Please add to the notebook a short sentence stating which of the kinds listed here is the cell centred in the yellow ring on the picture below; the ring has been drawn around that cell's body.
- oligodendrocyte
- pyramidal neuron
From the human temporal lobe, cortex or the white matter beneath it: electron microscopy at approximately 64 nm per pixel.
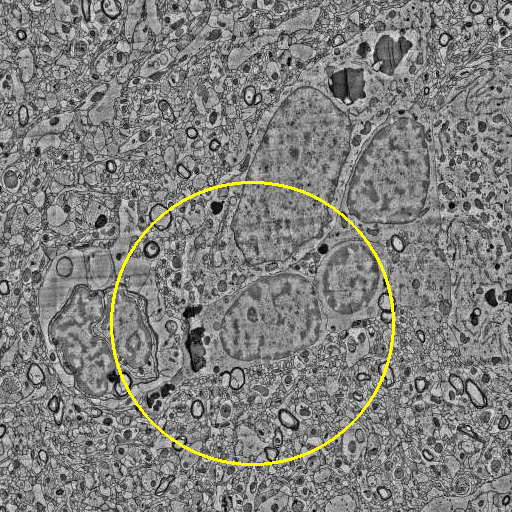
The cell centred in the yellow ring is an oligodendrocyte.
